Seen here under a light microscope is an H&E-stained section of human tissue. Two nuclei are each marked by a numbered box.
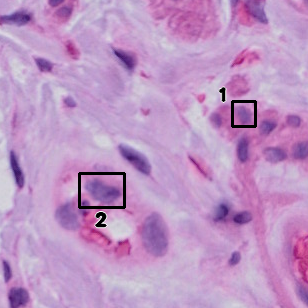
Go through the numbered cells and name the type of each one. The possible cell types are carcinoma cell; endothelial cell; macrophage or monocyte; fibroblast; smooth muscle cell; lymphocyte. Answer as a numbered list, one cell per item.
1. smooth muscle cell
2. endothelial cell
